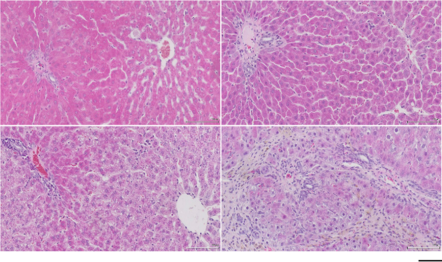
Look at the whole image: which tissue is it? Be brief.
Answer: Liver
